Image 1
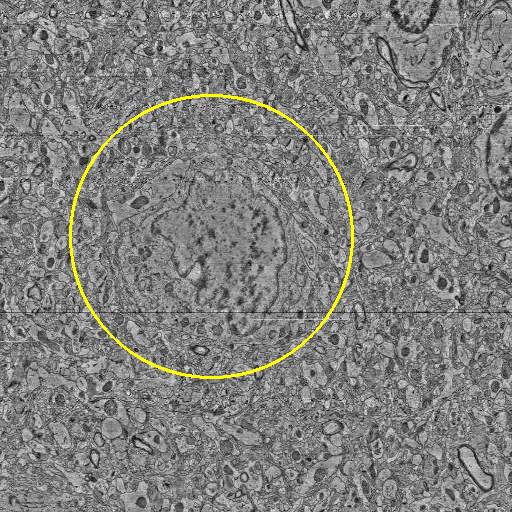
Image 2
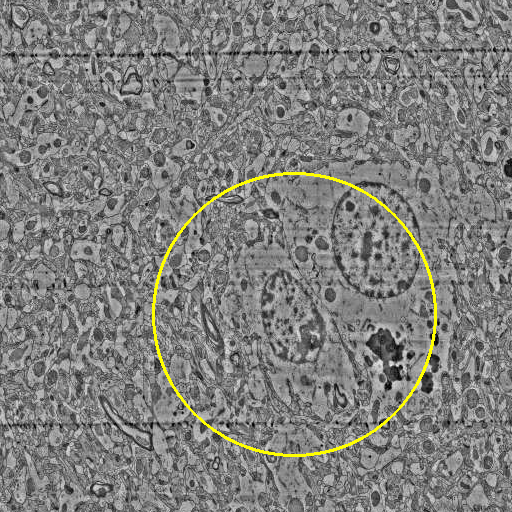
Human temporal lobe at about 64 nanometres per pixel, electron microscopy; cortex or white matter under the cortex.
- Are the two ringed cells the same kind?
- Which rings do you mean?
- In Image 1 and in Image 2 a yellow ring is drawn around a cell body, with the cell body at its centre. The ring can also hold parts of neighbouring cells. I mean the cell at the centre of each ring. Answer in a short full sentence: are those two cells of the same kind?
No, the cells are of two kinds.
